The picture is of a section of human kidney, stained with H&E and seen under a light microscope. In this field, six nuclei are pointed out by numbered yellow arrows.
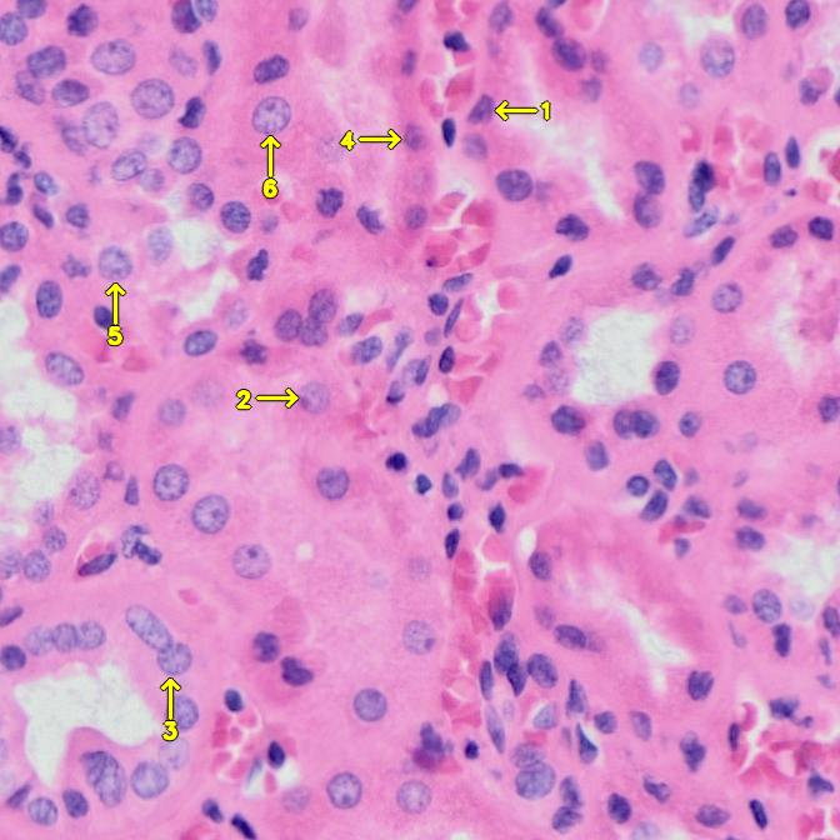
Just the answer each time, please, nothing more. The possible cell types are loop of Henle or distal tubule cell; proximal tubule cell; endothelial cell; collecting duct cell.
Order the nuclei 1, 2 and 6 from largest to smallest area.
6, 2, 1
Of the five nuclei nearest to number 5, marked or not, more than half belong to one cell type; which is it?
loop of Henle or distal tubule cell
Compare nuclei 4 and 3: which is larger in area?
3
